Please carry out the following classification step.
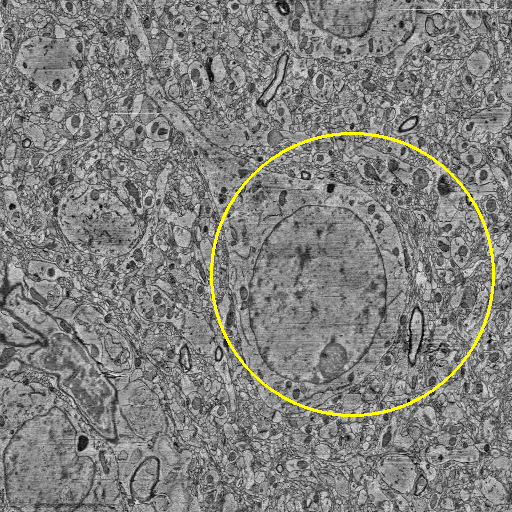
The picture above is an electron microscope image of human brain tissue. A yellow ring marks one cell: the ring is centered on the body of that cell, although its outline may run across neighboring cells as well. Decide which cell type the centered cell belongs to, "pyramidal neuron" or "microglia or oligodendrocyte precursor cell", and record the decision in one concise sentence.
The cell centered in the yellow ring is a pyramidal neuron.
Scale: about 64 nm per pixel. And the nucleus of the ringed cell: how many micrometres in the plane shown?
About 12 by 9 micrometres in this plane.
